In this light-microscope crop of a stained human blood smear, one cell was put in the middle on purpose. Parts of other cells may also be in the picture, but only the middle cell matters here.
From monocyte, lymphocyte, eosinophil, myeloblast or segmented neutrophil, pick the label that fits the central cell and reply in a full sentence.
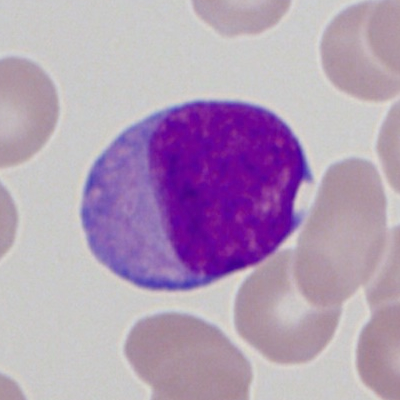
Framed in the middle of the crop is a myeloblast.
